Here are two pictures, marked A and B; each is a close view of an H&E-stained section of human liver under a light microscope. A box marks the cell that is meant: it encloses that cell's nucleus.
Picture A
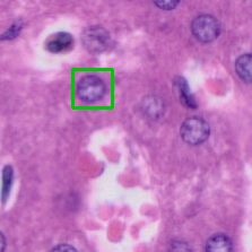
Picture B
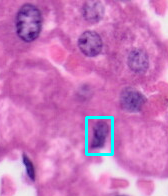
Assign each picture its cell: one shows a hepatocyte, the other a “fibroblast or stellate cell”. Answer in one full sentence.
The cell in picture A is a hepatocyte, and the one in picture B is a “fibroblast or stellate cell”.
